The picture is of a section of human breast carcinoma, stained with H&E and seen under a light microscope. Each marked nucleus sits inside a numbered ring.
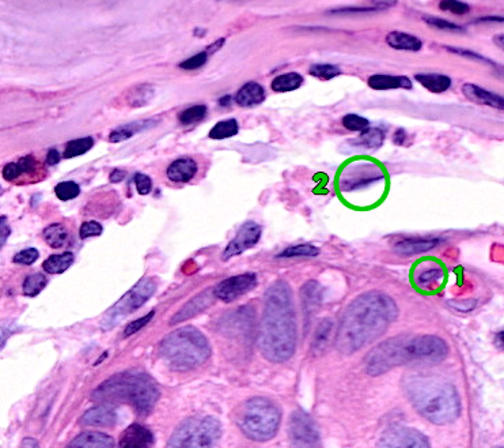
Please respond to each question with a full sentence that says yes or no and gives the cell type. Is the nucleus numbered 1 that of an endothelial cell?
Yes, cell number 1 is identified here as an endothelial cell.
